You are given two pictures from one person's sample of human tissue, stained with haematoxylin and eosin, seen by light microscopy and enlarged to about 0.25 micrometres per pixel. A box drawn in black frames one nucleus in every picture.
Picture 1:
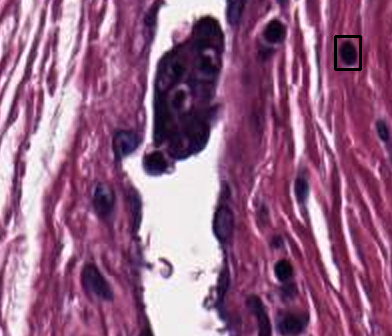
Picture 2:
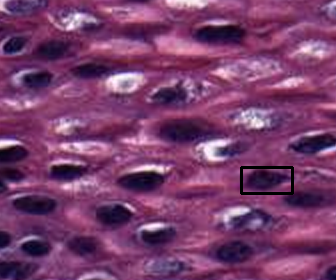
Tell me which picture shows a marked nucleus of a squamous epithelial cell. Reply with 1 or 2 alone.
2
